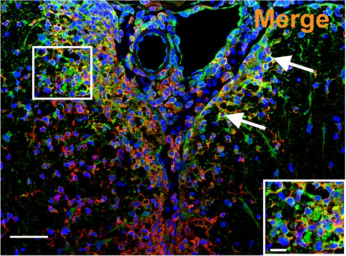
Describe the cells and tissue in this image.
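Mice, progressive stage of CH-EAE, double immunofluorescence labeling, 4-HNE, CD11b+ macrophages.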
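Spinal cord near the midline, with a blood vessel at the top and a dense infiltrate of rounded cells spreading through the tissue on both sides. Many cells carry red outlines around blue round nuclei, and much of their cytoplasm also shows green, giving a yellow-orange overlap. The packed cells cluster most densely near the vessel and along the edges of the cord, and the enlarged inset shows them as round cells with central nuclei lying close together.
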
